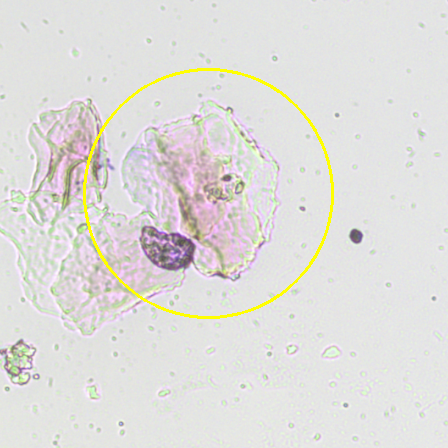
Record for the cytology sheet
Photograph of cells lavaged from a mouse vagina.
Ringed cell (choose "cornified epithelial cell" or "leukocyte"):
cornified epithelial cell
